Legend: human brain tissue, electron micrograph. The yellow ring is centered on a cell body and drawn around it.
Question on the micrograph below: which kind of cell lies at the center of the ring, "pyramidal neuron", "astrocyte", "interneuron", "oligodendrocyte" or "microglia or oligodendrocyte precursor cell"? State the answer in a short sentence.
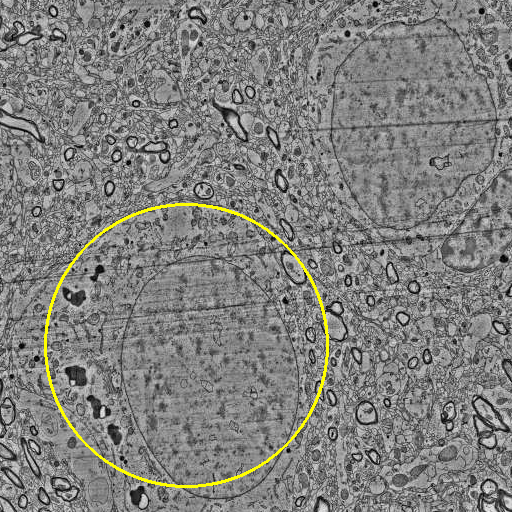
At the center of the ring lies a pyramidal neuron.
